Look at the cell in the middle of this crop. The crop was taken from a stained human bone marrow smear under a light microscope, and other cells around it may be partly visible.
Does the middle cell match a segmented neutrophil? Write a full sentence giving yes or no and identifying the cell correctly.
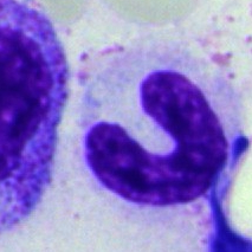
No, sorry, the middle cell is a band neutrophil rather than a segmented neutrophil.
